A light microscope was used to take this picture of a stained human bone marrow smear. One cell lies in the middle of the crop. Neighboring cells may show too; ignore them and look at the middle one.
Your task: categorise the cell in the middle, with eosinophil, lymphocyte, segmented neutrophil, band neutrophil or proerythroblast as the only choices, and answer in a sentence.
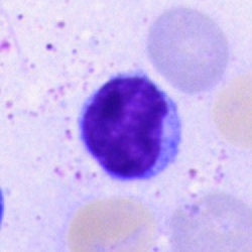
The cell centred in this crop is categorized as a lymphocyte.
